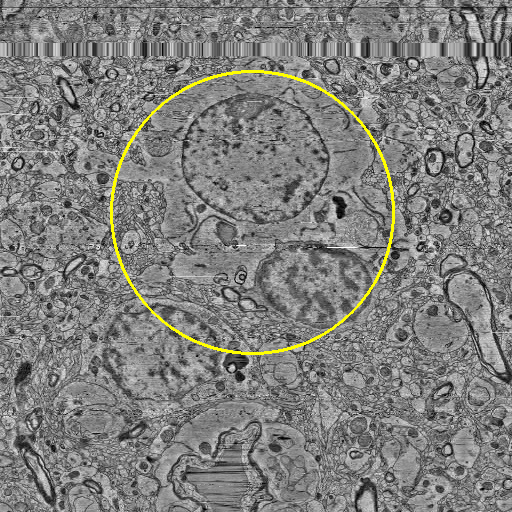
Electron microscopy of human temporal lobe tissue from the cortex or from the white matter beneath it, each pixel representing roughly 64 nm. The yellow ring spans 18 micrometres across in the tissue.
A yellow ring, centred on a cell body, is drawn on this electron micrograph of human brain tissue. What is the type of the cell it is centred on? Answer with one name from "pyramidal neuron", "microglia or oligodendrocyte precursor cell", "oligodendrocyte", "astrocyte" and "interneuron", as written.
astrocyte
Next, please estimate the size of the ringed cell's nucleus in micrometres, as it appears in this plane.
Roughly 9 micrometers across, in this plane.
